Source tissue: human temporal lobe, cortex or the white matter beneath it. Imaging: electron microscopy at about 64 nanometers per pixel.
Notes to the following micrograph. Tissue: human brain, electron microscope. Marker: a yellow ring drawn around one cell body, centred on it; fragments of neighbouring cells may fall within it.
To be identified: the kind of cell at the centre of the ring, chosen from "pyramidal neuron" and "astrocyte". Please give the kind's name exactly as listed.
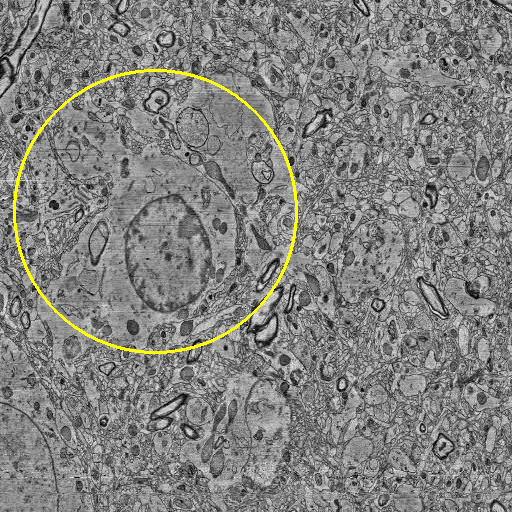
astrocyte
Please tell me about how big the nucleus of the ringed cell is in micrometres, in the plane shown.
Approximately 8 x 6 micrometres in this plane.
